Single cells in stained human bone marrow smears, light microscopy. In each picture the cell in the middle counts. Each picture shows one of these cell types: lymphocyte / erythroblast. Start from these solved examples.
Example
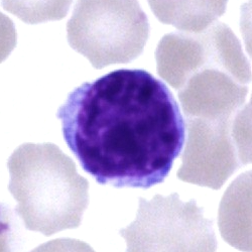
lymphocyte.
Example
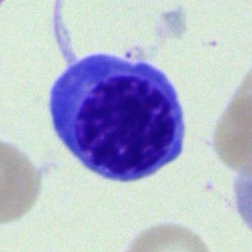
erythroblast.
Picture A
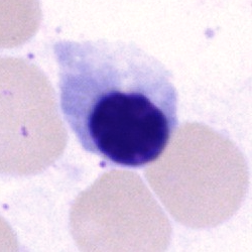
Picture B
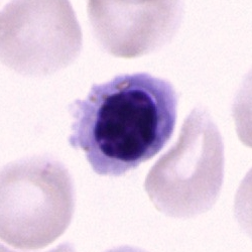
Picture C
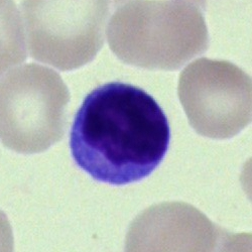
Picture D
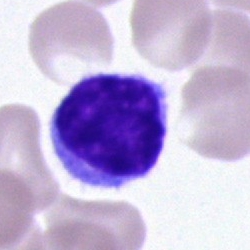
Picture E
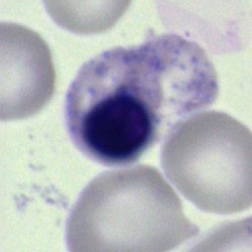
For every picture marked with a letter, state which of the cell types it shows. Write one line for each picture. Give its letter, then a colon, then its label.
A: erythroblast.
B: erythroblast.
C: lymphocyte.
D: lymphocyte.
E: erythroblast.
